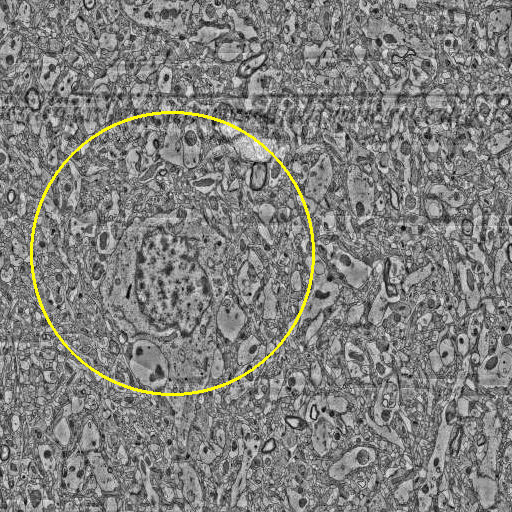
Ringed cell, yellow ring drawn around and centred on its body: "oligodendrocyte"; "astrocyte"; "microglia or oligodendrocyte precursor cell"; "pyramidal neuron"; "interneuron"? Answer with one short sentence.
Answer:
This ringed cell is an interneuron.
